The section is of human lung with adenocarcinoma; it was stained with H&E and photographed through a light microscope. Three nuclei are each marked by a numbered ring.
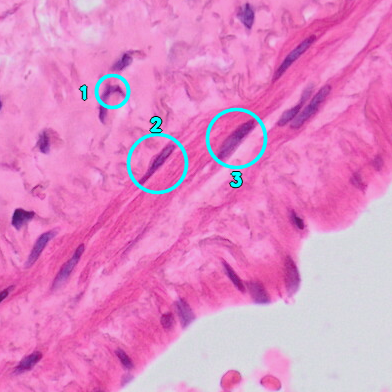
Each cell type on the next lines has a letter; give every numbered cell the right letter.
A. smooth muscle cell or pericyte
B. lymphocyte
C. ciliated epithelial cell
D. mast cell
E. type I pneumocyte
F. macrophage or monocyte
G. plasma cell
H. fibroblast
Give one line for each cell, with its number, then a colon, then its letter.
1: H
2: A
3: A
